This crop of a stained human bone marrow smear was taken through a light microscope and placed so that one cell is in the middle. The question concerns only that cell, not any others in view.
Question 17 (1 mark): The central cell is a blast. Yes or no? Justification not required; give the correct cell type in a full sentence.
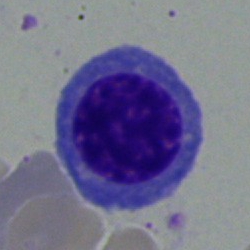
No, the cell in the centre is to be called a normoblast instead of a blast.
